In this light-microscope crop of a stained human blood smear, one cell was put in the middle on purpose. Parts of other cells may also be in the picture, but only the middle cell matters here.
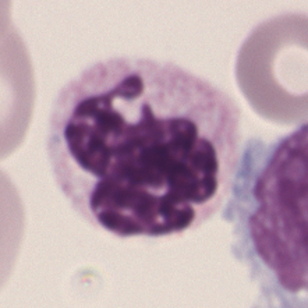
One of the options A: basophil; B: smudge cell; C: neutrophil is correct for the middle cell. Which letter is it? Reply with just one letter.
C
